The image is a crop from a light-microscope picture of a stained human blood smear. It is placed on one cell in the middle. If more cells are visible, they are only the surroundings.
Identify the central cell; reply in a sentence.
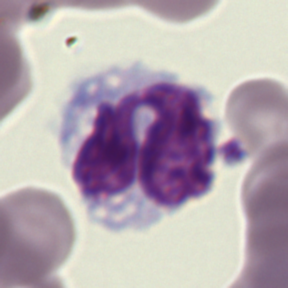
The cell sitting right in the middle is a monocyte.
